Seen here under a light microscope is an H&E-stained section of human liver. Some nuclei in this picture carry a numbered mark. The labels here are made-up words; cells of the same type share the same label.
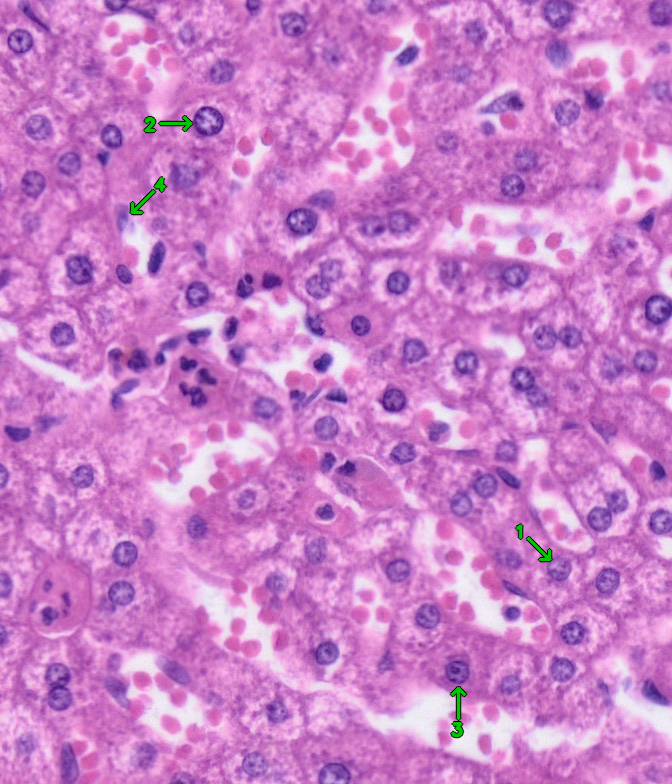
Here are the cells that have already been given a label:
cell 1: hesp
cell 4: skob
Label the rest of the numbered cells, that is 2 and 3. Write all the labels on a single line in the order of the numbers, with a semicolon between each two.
hesp; hesp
